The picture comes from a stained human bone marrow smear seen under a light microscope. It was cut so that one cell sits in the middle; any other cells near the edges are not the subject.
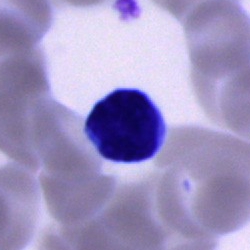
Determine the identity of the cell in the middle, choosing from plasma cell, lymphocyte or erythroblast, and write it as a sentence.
What sits at the centre of this crop is a lymphocyte.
